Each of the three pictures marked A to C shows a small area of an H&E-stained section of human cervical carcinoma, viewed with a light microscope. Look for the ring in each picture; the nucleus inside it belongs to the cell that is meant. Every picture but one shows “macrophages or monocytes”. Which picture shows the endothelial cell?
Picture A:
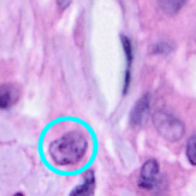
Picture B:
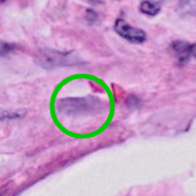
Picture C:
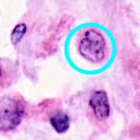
B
